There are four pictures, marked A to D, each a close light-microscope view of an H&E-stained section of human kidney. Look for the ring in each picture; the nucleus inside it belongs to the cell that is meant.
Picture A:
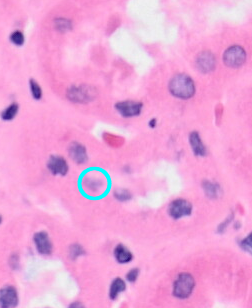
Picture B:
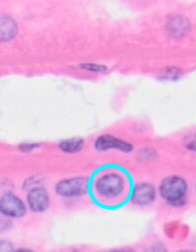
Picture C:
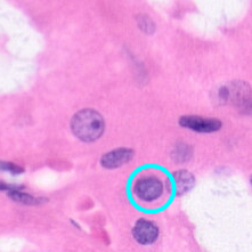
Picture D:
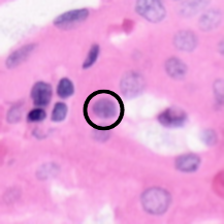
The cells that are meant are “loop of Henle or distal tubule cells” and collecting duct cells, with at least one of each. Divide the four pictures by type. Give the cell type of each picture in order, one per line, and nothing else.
loop of Henle or distal tubule cell
collecting duct cell
loop of Henle or distal tubule cell
loop of Henle or distal tubule cell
